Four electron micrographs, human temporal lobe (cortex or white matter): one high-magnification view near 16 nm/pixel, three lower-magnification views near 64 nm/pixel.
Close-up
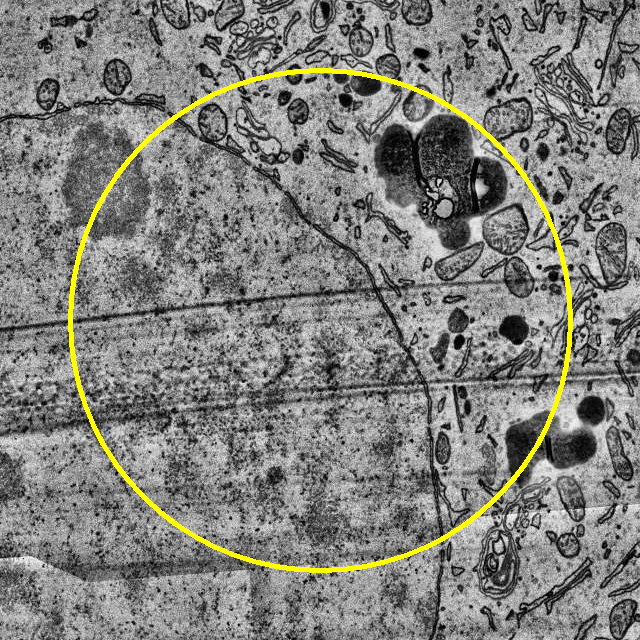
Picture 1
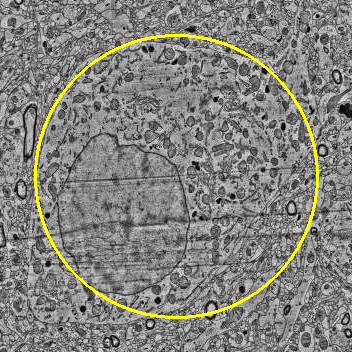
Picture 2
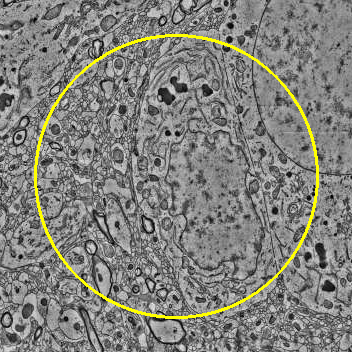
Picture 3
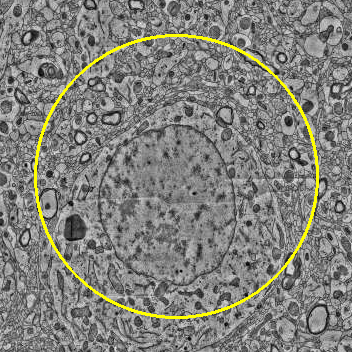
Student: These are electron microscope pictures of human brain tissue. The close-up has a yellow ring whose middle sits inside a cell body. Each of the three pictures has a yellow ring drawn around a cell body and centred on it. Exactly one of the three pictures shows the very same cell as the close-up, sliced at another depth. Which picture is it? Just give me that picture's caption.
Picture 1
